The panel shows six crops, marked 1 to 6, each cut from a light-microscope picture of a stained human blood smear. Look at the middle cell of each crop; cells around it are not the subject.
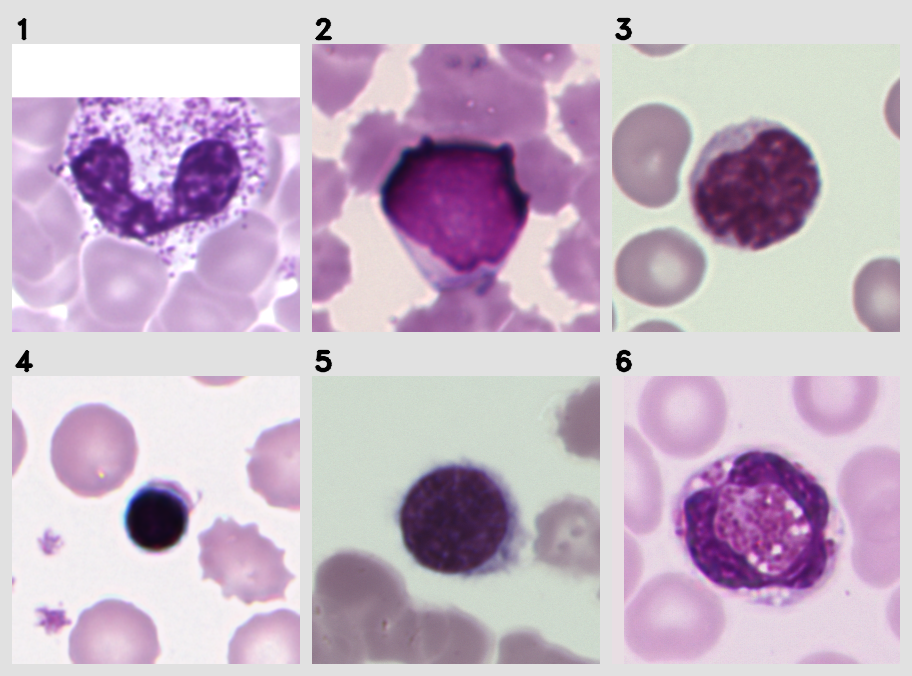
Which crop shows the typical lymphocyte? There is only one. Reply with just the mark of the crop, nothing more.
3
